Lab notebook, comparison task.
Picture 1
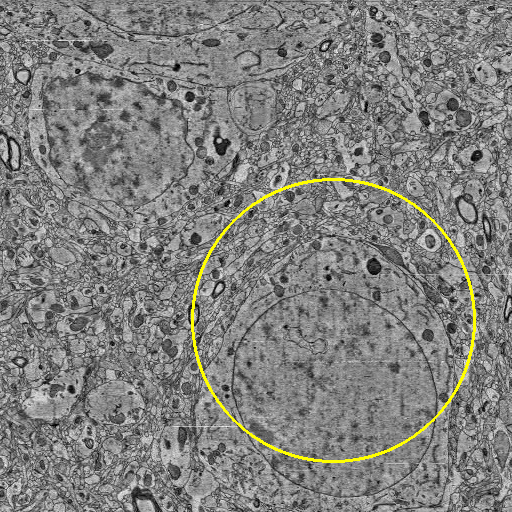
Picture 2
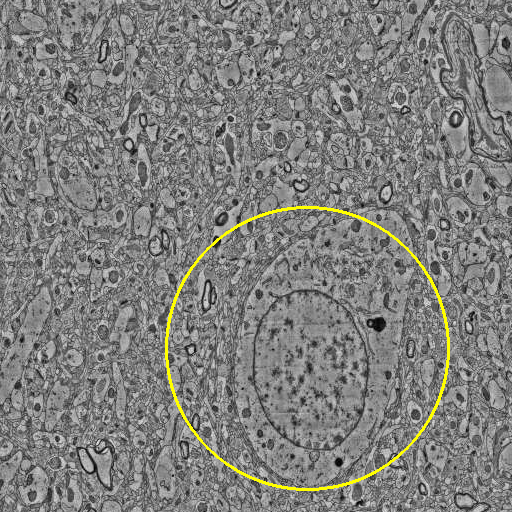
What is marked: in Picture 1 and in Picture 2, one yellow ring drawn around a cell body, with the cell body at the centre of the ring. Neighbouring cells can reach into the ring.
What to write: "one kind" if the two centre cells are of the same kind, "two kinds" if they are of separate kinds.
one kind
